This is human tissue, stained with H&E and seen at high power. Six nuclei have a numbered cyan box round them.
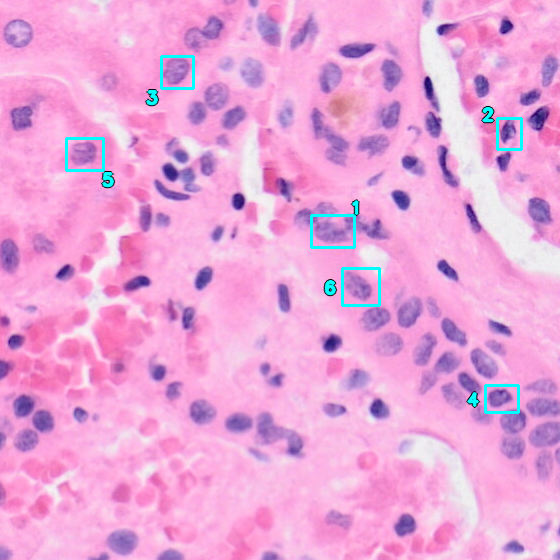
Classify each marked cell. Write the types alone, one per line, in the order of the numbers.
collecting duct cell
endothelial cell
proximal tubule cell
collecting duct cell
proximal tubule cell
collecting duct cell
